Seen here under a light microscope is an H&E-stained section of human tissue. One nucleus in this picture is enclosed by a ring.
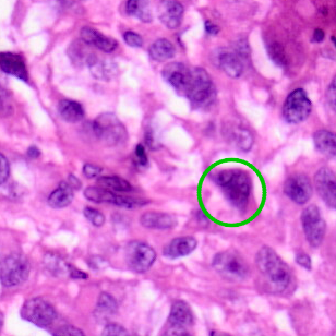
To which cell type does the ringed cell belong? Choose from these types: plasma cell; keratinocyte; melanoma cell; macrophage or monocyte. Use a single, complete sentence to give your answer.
The cell type represented by the ringed cell is that of a melanoma cell.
